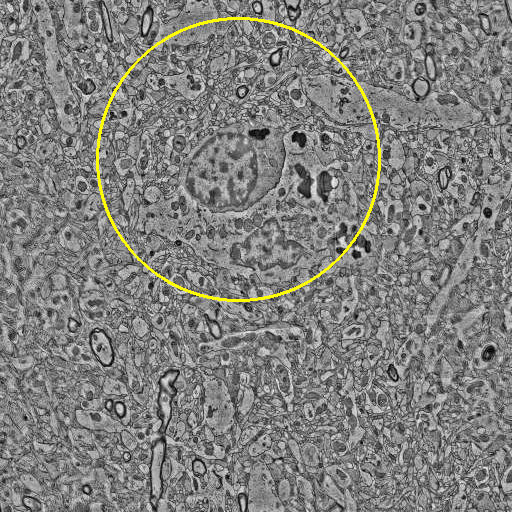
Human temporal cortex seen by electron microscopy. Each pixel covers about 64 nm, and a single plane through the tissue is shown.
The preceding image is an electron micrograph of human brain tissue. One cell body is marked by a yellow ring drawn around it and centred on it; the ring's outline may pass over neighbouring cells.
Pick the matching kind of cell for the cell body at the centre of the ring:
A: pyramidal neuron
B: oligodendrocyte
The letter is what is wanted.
B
